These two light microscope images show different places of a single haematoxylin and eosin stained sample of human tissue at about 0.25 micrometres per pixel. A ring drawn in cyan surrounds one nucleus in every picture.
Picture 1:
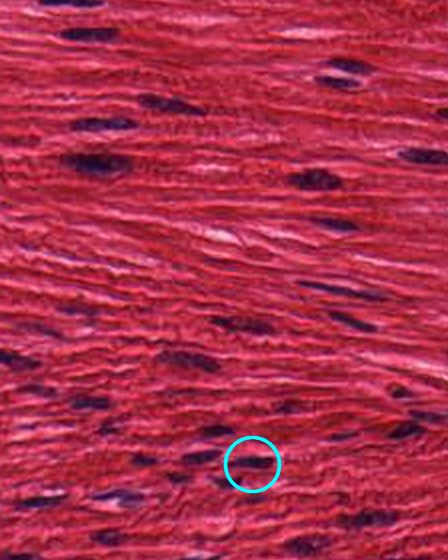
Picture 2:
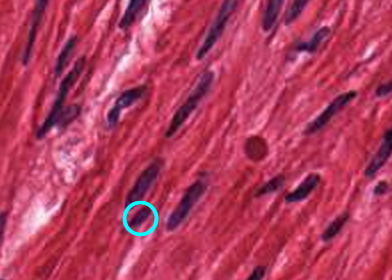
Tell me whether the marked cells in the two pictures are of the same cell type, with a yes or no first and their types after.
Yes, both are smooth muscle cells.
